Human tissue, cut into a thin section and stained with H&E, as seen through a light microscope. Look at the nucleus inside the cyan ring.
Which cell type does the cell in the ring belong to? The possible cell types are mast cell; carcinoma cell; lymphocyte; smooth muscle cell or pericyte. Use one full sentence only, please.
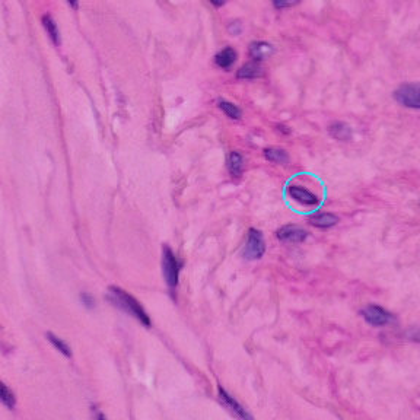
Speaking plainly, the cell in the ring is nothing other than a smooth muscle cell or pericyte.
